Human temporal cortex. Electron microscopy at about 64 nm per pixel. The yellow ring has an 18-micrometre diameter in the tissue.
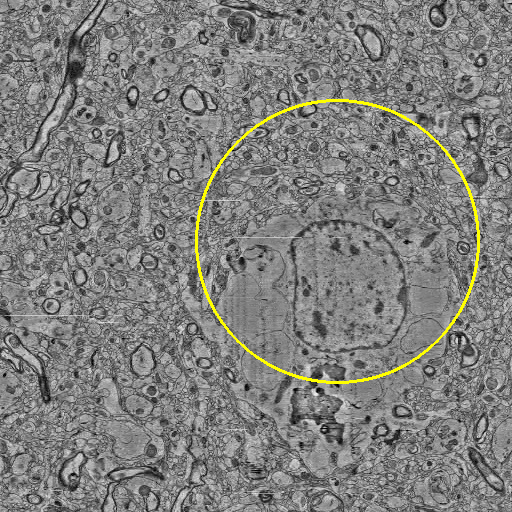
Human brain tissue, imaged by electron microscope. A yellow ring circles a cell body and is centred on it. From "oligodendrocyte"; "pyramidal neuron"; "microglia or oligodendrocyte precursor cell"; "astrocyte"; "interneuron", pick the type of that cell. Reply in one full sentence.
The cell body at the centre of the yellow ring belongs to an astrocyte.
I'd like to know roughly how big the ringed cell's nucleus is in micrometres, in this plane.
In this plane the nucleus is about 9 micrometres across.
